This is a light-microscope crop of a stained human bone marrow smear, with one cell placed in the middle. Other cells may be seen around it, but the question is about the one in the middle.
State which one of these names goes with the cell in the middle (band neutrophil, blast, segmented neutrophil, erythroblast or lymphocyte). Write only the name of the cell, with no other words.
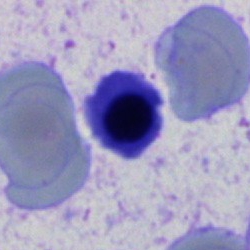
erythroblast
